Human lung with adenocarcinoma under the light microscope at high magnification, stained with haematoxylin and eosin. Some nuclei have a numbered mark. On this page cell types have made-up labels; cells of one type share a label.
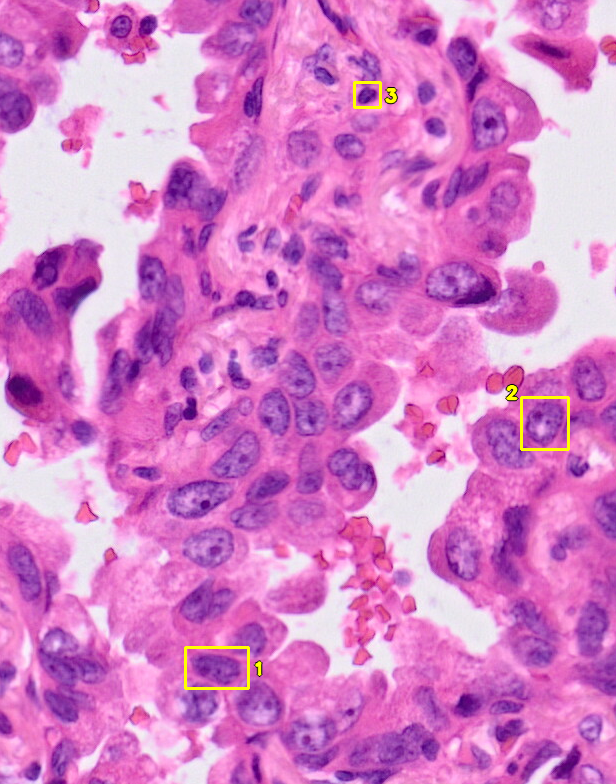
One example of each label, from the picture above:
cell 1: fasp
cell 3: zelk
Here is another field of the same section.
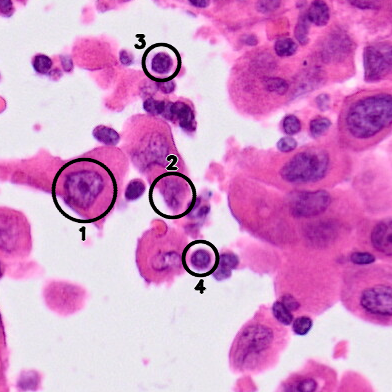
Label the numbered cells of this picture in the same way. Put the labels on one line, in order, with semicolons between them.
fasp; fasp; zelk; zelk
